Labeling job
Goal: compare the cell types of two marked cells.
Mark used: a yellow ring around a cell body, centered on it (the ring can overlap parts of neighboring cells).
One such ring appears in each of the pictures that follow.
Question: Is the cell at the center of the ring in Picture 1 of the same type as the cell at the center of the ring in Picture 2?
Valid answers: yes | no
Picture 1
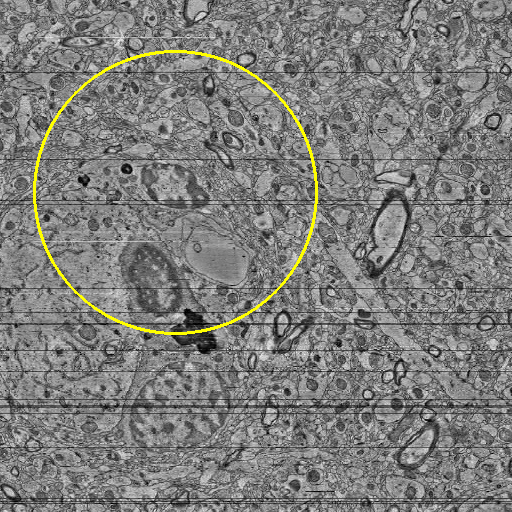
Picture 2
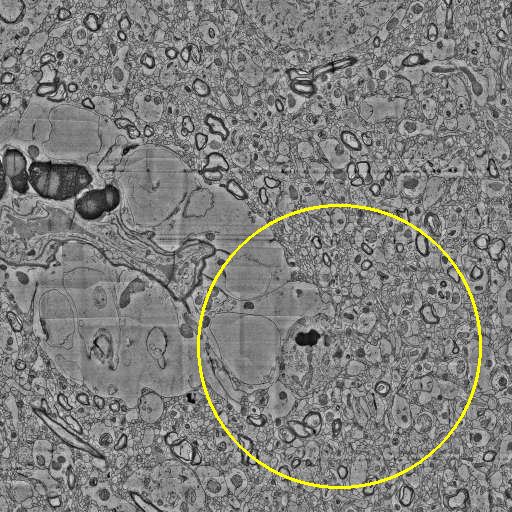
no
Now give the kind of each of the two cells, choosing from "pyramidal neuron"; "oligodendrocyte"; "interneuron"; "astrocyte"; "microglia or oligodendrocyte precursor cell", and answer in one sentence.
The cell in the first picture is a microglial cell or oligodendrocyte precursor cell, and the cell in the second is an oligodendrocyte.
